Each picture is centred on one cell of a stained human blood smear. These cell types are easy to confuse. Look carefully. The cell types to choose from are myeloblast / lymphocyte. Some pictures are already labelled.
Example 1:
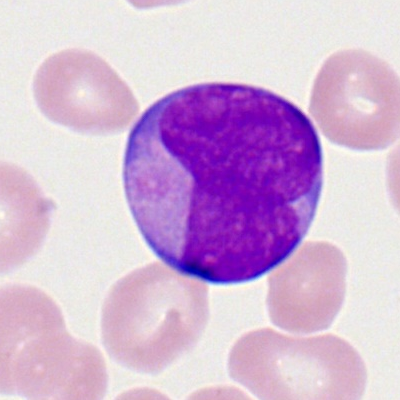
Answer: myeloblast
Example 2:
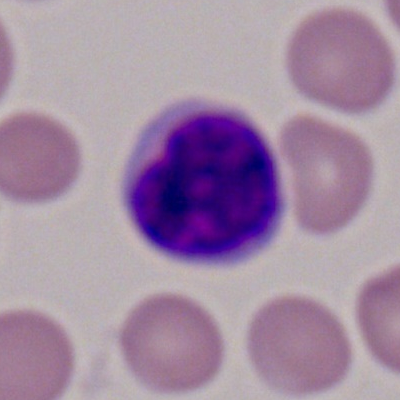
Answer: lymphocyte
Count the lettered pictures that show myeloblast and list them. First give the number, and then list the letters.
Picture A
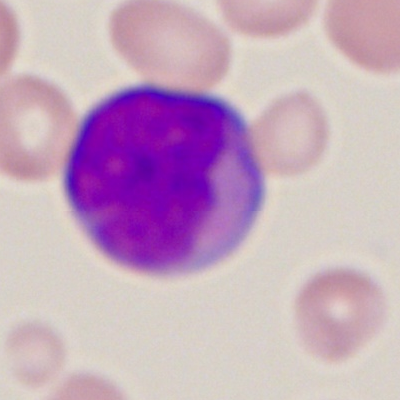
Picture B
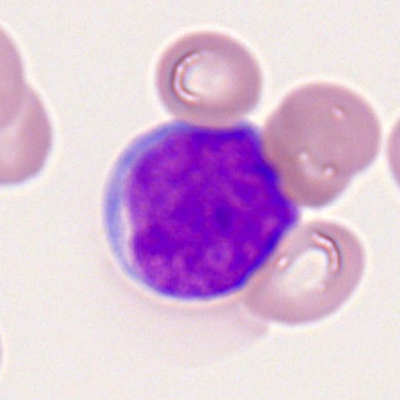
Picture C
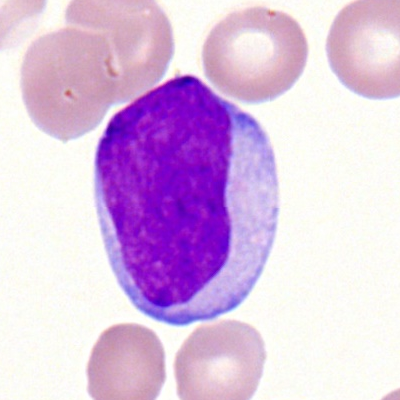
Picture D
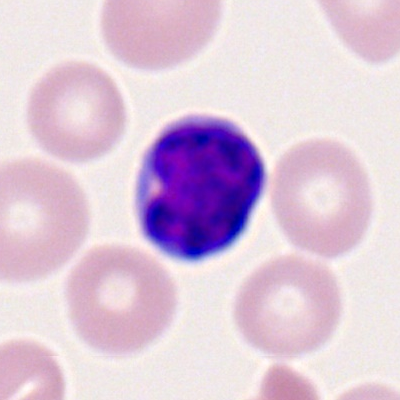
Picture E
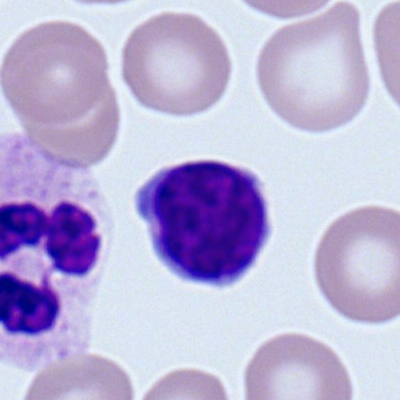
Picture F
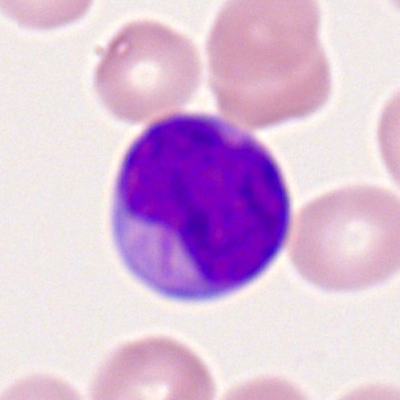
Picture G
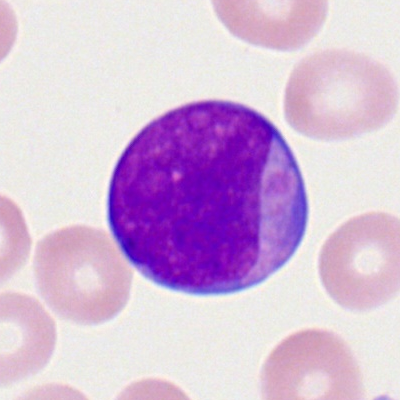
5: A, B, C, F, G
